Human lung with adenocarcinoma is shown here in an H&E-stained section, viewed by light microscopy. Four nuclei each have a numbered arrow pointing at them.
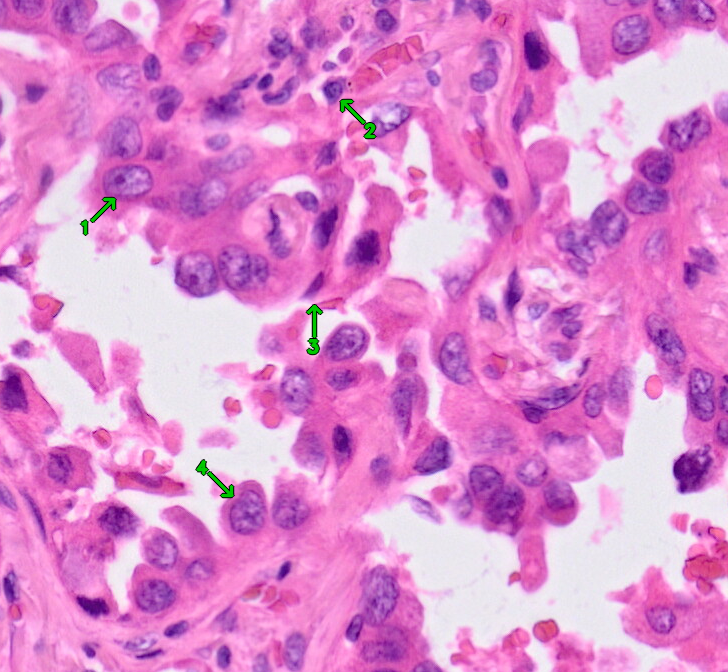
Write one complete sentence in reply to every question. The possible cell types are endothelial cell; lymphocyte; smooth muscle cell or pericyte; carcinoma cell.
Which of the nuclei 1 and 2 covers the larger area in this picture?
Nucleus 1 is the larger one, covering about 3 times the area of nucleus 2.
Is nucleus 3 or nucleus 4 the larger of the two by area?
Nucleus 4 is the larger one, covering about 3 times the area of nucleus 3.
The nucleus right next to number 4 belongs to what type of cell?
The nearest nucleus to number 4 belongs to a carcinoma cell.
